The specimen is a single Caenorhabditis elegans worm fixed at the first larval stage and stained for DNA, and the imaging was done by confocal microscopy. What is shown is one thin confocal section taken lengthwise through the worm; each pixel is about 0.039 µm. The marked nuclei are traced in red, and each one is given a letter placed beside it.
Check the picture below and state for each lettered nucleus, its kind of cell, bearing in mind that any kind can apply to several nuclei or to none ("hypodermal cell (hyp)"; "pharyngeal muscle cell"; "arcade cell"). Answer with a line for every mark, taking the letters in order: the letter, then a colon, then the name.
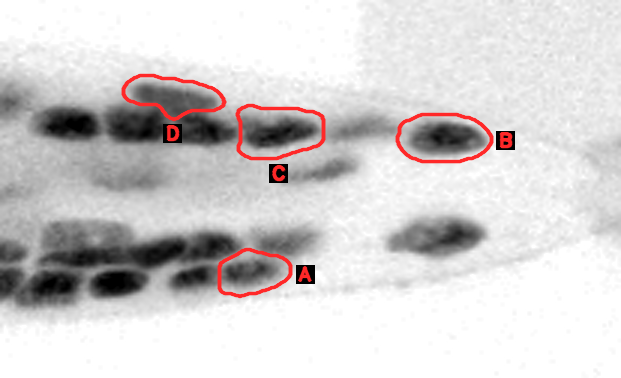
A: hypodermal cell (hyp)
B: hypodermal cell (hyp)
C: arcade cell
D: hypodermal cell (hyp)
